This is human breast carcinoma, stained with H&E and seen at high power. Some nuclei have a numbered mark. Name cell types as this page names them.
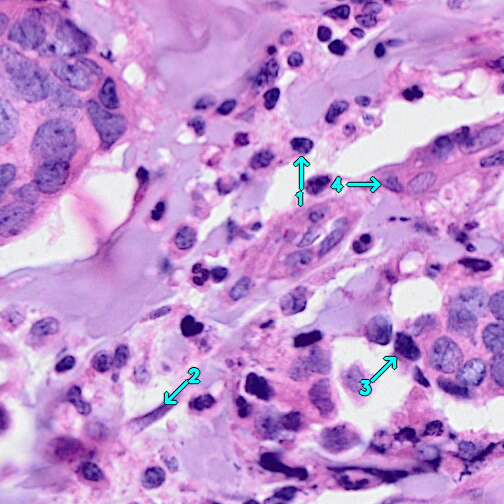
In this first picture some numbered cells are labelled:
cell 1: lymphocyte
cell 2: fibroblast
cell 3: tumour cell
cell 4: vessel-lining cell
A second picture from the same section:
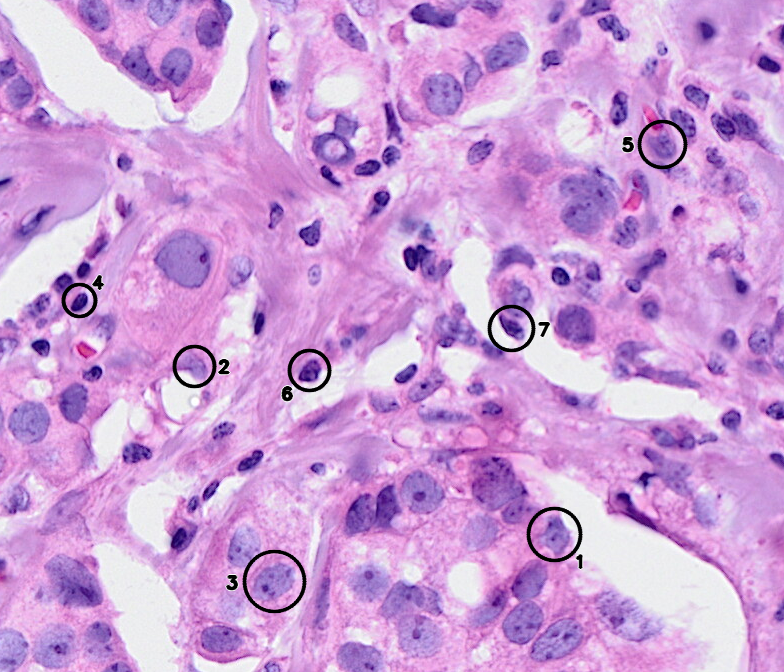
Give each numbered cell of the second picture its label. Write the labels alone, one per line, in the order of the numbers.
tumour cell
fibroblast
tumour cell
lymphocyte
vessel-lining cell
lymphocyte
lymphocyte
